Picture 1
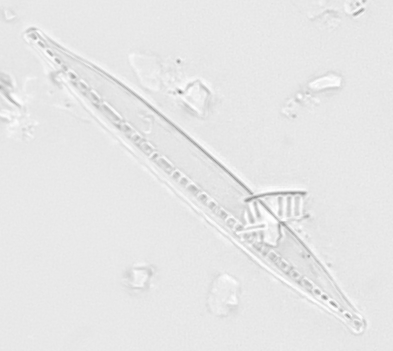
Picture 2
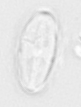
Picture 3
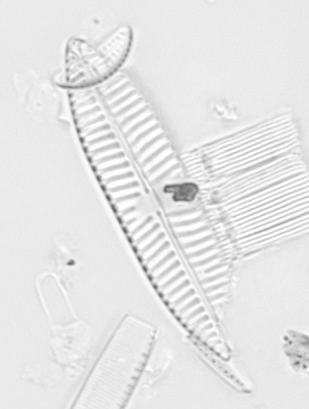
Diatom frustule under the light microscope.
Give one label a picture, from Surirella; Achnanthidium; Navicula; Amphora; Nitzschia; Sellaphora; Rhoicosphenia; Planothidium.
1: Nitzschia
2: Sellaphora
3: Navicula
